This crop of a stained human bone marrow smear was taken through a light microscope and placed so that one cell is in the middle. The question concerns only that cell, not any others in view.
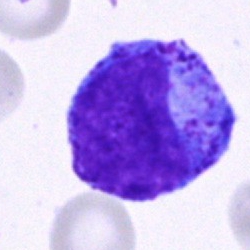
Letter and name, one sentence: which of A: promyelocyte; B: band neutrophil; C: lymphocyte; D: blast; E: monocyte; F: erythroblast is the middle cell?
Option A is correct in that the central cell is a promyelocyte.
